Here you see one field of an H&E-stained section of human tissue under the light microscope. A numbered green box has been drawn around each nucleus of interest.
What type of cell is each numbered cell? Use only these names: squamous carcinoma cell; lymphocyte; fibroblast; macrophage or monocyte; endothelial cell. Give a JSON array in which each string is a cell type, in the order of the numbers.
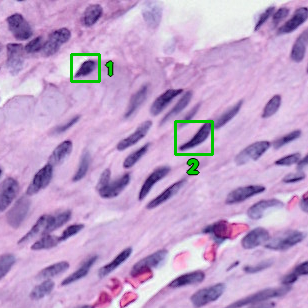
["lymphocyte", "fibroblast"]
